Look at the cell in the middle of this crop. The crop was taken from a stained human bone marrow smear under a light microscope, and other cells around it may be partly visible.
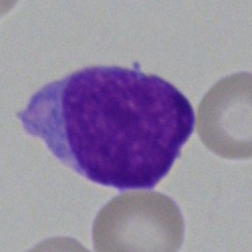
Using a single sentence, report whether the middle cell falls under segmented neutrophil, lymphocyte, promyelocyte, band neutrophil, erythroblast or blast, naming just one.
The middle cell in this particular crop is a blast.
